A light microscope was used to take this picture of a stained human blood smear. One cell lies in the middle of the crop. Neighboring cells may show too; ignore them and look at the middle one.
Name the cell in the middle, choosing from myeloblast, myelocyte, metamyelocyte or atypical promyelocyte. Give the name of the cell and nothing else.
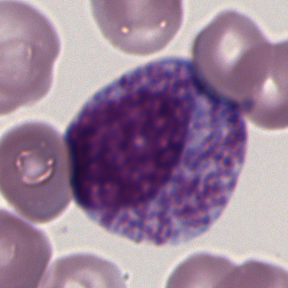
myelocyte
